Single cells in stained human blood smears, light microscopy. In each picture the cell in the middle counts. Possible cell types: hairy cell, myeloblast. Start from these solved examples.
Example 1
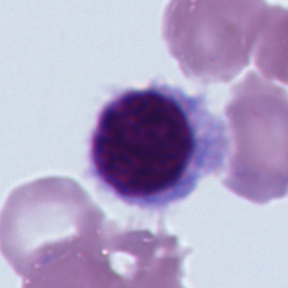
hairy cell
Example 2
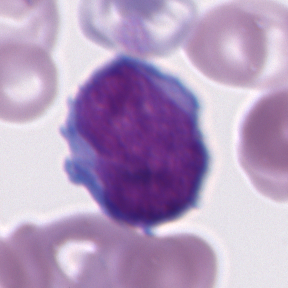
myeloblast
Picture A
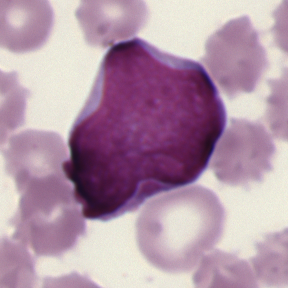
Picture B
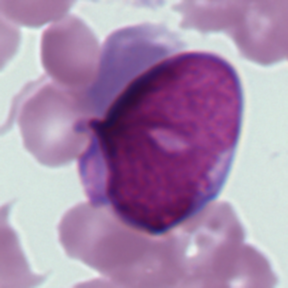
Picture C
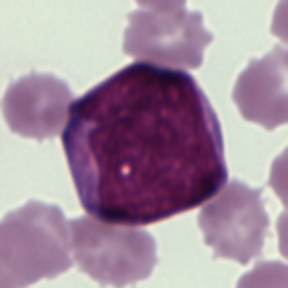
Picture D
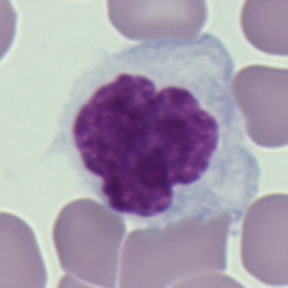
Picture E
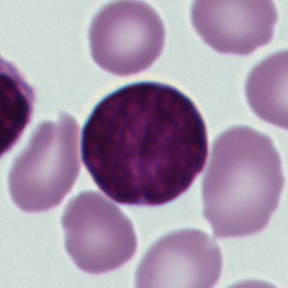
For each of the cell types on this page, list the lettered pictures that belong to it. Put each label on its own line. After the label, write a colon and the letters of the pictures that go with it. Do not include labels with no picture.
hairy cell: D
myeloblast: A, B, C, E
